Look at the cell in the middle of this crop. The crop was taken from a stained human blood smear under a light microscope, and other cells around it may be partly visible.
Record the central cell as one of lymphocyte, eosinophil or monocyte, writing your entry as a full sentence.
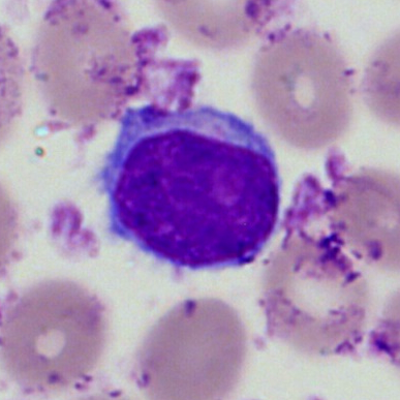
The central element of this crop is a cell, namely a lymphocyte.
